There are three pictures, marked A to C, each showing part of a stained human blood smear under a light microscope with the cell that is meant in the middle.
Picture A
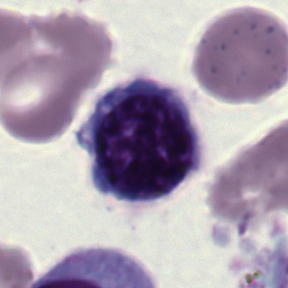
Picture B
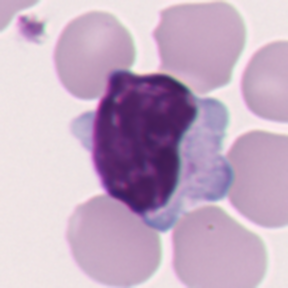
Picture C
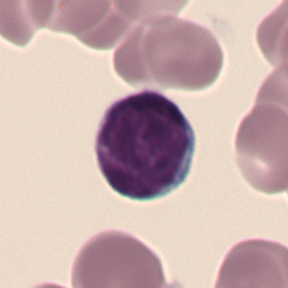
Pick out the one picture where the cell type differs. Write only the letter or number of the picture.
A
